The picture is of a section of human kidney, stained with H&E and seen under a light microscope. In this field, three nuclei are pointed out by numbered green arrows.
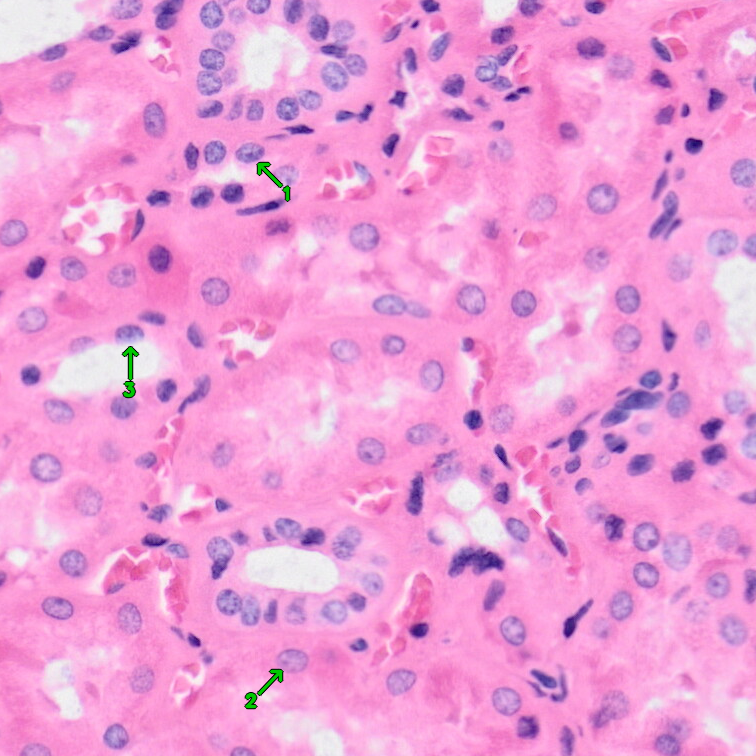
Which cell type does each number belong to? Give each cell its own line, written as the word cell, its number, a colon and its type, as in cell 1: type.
cell 1: loop of Henle or distal tubule cell
cell 2: proximal tubule cell
cell 3: loop of Henle or distal tubule cell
